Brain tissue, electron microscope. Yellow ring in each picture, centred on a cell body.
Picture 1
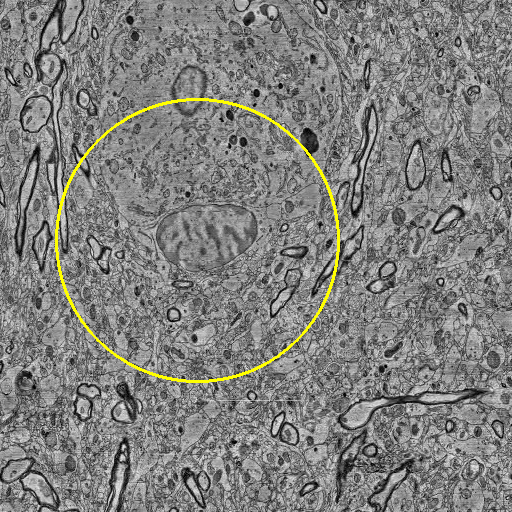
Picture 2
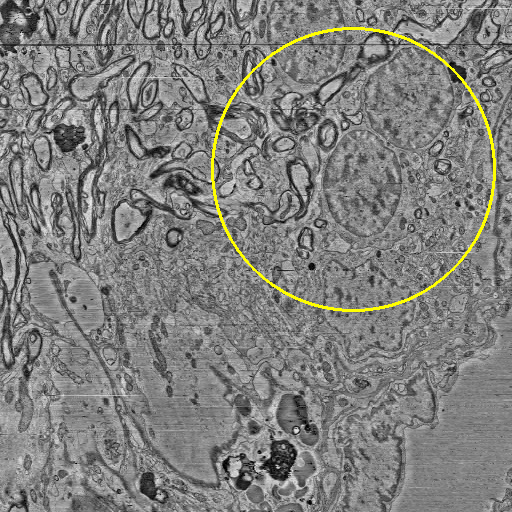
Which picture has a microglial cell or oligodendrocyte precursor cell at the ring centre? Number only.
1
